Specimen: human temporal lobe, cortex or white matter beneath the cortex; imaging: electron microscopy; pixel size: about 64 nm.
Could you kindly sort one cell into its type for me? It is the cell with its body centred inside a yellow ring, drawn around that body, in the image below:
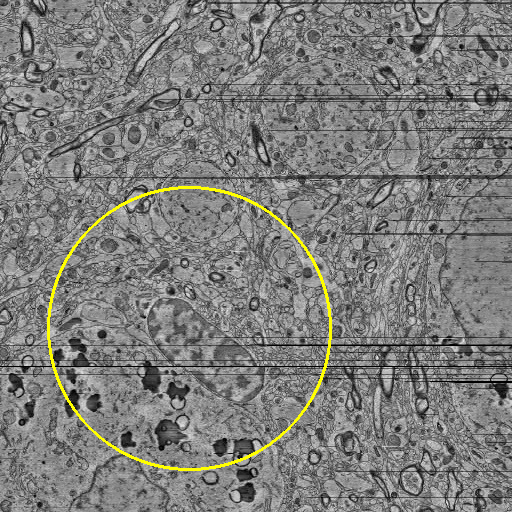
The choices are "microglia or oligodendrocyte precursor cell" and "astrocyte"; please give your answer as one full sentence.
The cell whose body lies centred in the yellow ring here is a microglial cell or oligodendrocyte precursor cell.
